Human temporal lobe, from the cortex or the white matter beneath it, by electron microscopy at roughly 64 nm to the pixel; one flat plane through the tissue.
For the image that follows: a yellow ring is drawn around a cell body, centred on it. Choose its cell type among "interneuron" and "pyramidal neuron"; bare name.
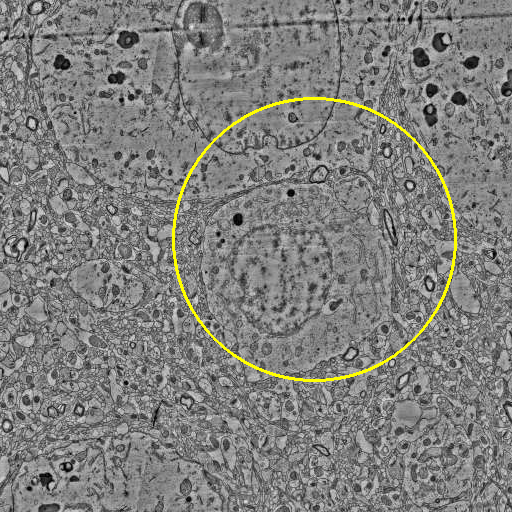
interneuron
